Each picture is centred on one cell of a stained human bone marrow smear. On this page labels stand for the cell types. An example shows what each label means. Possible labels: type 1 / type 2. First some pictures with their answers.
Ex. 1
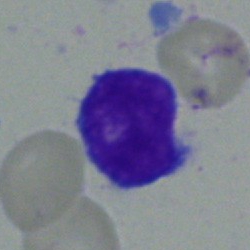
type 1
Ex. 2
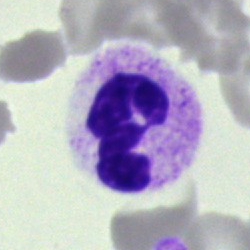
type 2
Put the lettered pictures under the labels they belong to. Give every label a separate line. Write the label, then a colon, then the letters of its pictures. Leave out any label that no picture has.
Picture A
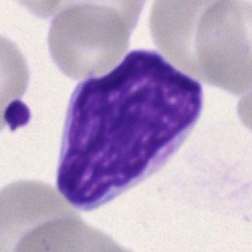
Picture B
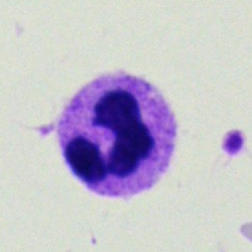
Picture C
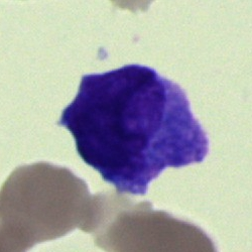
type 1: A, C
type 2: B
